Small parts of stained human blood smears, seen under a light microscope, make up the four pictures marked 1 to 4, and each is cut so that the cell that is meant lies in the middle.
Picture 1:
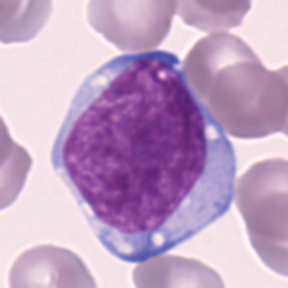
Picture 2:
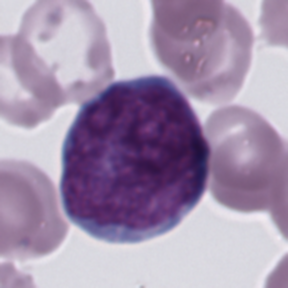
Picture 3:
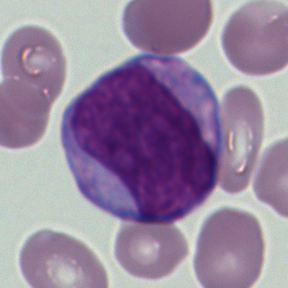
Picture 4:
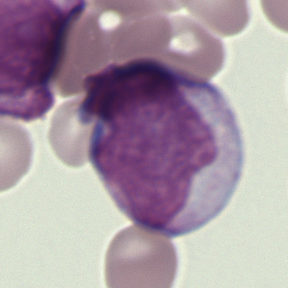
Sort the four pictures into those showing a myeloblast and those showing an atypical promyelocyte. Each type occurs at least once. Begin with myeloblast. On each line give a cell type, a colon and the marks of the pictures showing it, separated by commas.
myeloblast: 1, 2
atypical promyelocyte: 3, 4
